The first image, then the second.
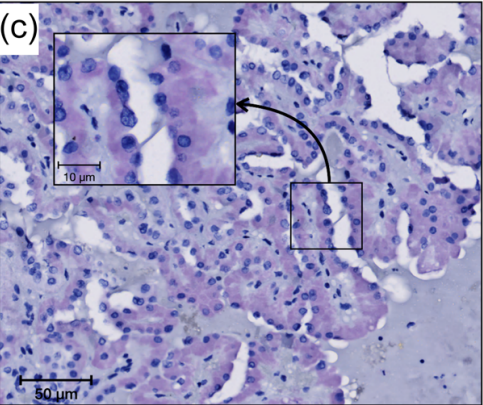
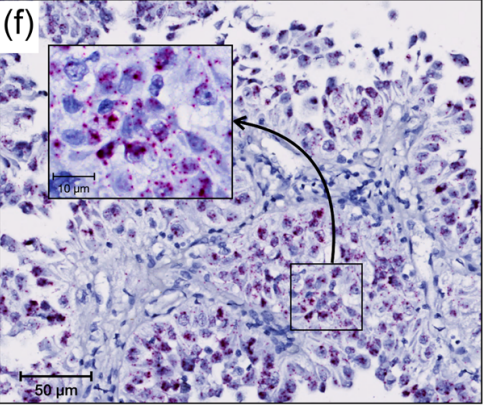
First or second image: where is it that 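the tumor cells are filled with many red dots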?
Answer: The second image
